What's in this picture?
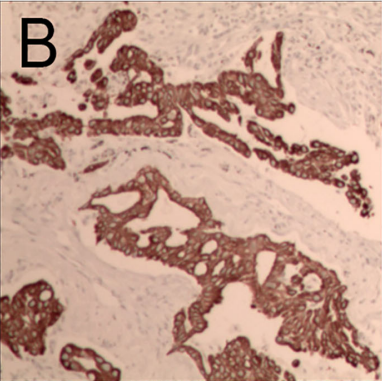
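Adenocarcinoma tumor cells form elongated strands, papillary fronds and nests that are outlined by strong brown staining along their cell borders. The surrounding stroma is pale with only faint blue nuclei and stays unstained.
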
